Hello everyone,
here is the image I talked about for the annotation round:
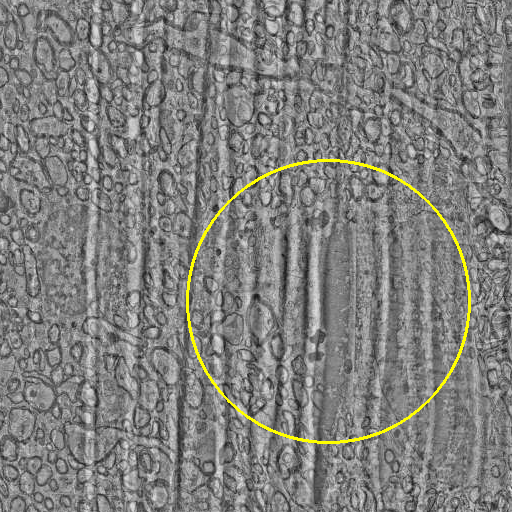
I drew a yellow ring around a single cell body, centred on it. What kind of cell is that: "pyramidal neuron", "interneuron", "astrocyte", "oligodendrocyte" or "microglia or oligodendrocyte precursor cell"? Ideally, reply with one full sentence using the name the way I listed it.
The cell your yellow ring is centred on is a pyramidal neuron, going by your list.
